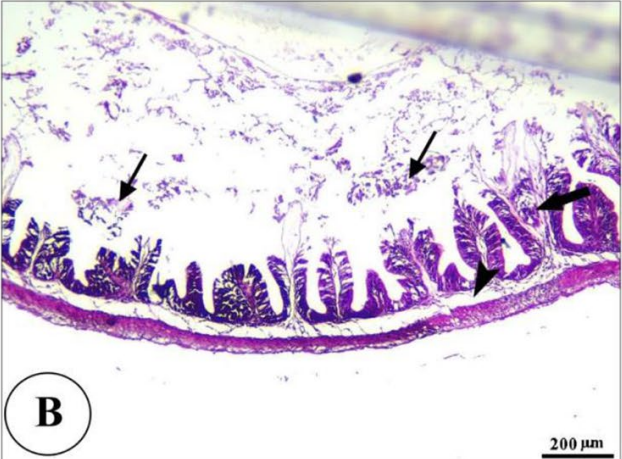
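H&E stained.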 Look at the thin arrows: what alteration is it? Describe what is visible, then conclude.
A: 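Loose clumps of purple tissue debris lie in the lumen above the villi. That points to this answer: sloughing of the apical part of intestinal villi.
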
